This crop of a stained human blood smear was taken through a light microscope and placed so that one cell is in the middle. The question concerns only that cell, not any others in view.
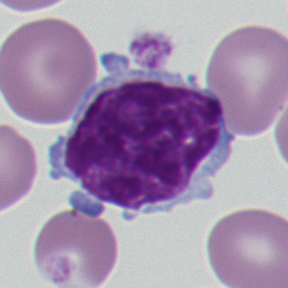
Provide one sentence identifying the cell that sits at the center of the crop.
The centrally placed cell is classified as a typical lymphocyte.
